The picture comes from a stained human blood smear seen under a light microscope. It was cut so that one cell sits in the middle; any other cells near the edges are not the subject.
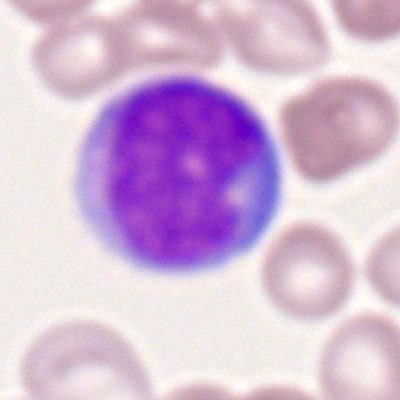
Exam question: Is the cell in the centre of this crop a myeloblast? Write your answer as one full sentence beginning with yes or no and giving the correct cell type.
Yes, within this crop, the central cell is a myeloblast.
